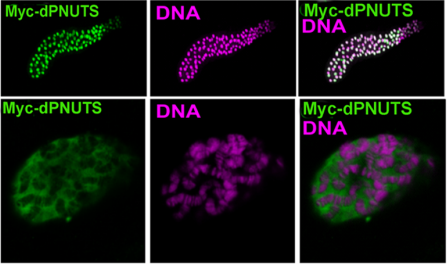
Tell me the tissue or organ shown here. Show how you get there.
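An elongated, curved organ in the top row.
Hence: salivary gland.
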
